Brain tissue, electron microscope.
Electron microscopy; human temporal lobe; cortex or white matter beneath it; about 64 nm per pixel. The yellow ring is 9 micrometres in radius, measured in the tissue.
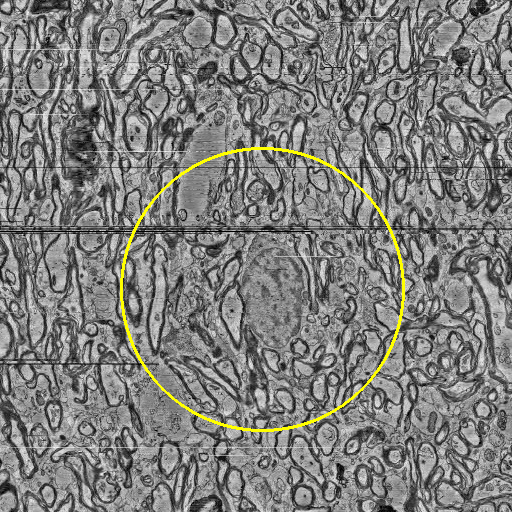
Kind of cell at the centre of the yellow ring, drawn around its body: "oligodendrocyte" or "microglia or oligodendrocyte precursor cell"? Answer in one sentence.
The ring's centre falls on an oligodendrocyte.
